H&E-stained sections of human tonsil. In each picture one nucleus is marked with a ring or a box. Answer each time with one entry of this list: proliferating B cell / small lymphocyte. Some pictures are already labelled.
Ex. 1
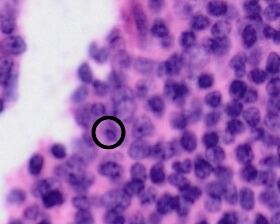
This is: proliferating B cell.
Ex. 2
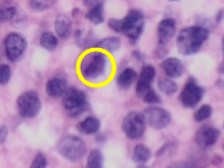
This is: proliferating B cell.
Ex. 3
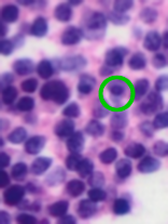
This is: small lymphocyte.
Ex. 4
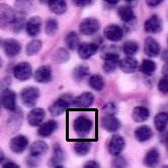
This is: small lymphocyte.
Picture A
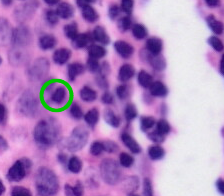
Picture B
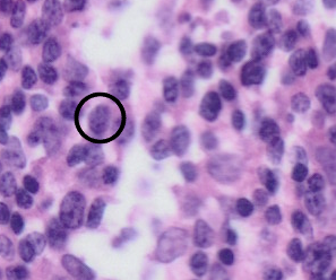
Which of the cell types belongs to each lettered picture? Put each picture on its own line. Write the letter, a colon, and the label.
A: proliferating B cell.
B: proliferating B cell.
